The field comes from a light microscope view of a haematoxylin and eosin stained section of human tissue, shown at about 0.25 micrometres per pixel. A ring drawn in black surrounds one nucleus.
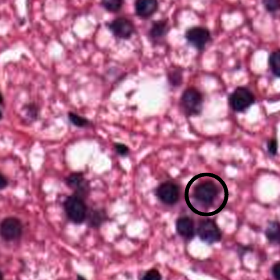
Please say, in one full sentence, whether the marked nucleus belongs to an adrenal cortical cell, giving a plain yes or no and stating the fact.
Yes, the cell that houses the marked nucleus is an adrenal cortical cell.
